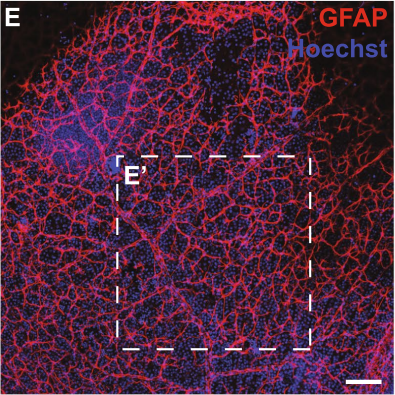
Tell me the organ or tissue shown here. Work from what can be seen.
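Whole mounted retina. A broad flat sheet densely packed with blue nuclei. A red meshwork of branching processes covers the whole sheet.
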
